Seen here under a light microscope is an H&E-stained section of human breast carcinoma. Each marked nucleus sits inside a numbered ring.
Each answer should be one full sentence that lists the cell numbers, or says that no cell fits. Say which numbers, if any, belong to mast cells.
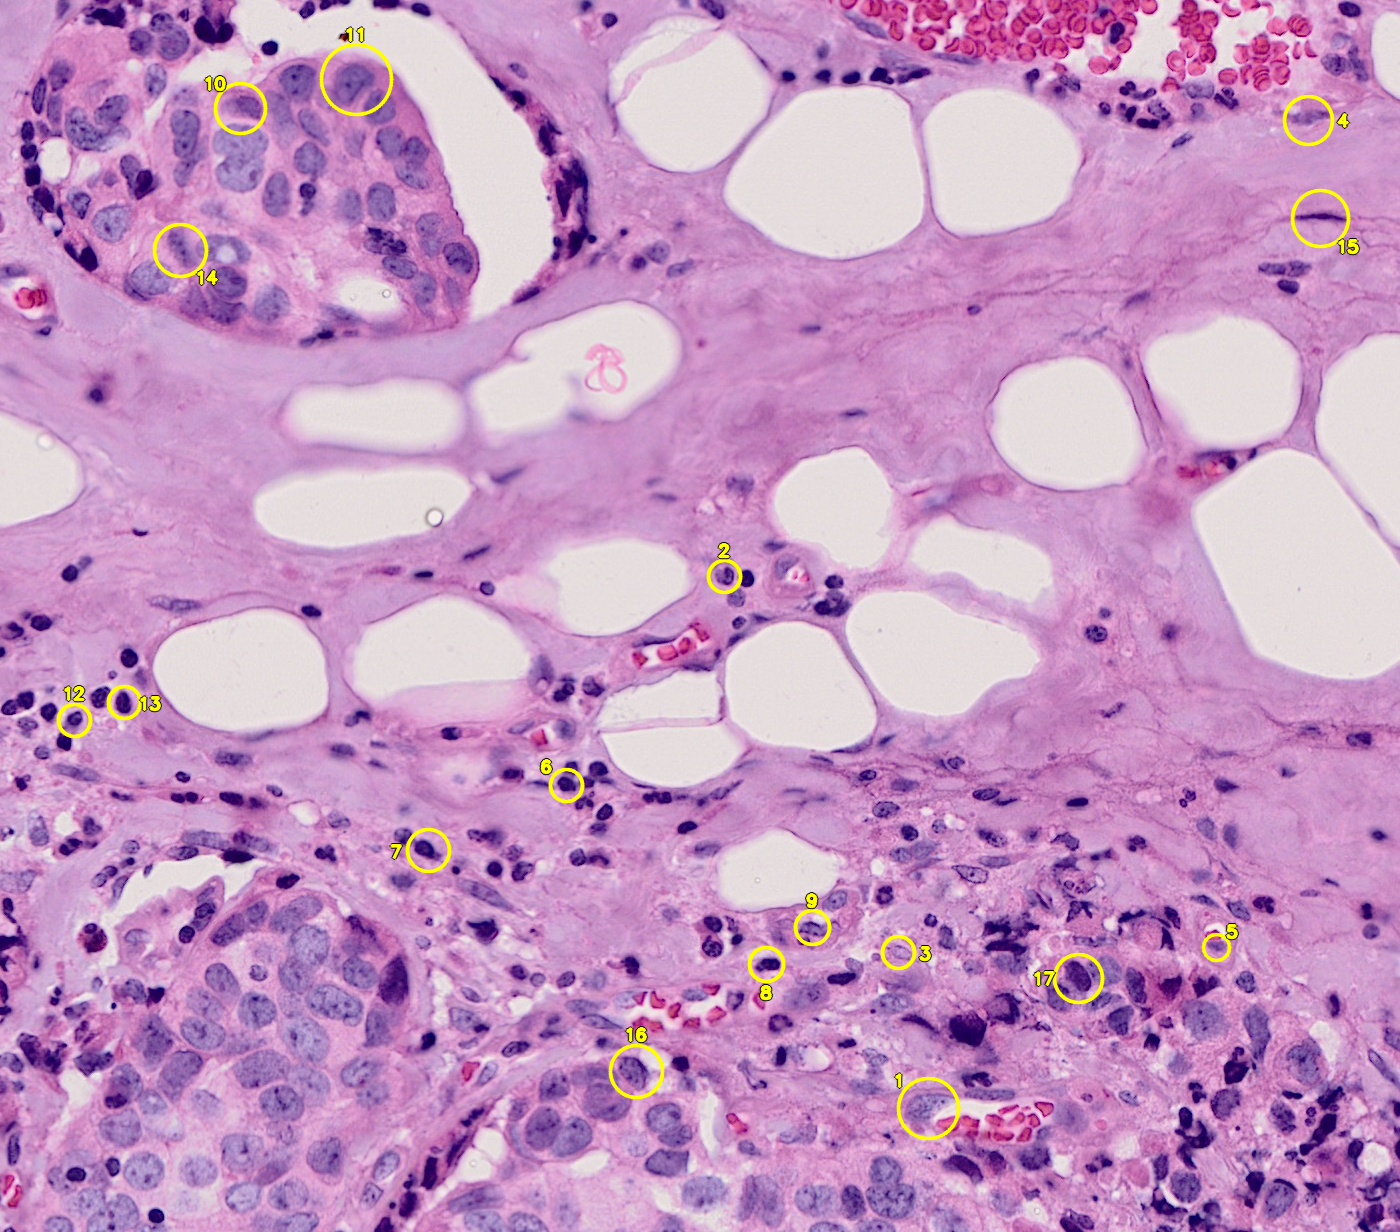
There are no mast cells among the cells marked with numbers.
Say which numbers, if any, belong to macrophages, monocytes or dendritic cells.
As for the numbered cells, only cell 3 is a macrophage, monocyte or dendritic cell.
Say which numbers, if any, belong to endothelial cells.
On this slide, the cells numbered 1, 5 and 9 are endothelial cells.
